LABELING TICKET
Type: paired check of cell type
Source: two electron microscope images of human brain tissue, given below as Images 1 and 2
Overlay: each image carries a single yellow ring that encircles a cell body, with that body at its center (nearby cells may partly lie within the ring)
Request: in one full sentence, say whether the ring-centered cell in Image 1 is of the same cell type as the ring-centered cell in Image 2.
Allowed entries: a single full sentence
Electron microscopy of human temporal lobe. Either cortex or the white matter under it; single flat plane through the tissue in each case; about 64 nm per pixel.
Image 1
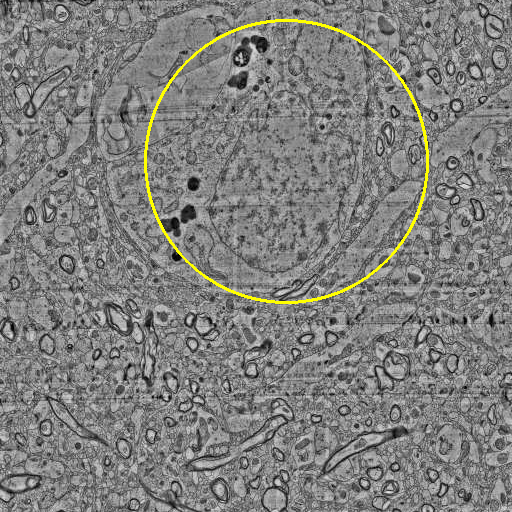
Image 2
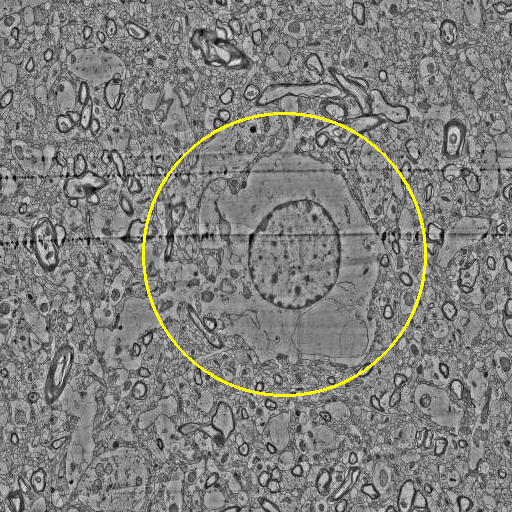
No, the cells centered in the rings of Image 1 and Image 2 are of two types.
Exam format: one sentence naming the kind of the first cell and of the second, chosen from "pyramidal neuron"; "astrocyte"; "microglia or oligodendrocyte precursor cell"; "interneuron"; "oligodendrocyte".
The first picture's cell is a pyramidal neuron, and the second picture's cell is an astrocyte.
